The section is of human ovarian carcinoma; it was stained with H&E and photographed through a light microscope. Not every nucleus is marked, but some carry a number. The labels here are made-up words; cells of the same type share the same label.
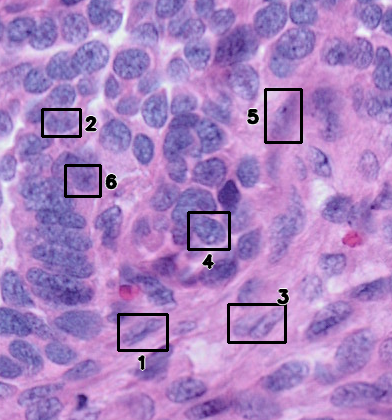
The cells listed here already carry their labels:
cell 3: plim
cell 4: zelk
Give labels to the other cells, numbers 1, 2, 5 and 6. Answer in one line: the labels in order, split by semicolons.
plim; zelk; plim; zelk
